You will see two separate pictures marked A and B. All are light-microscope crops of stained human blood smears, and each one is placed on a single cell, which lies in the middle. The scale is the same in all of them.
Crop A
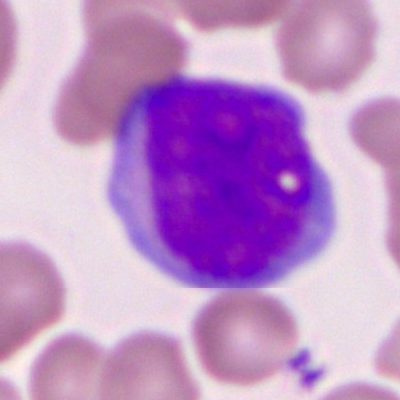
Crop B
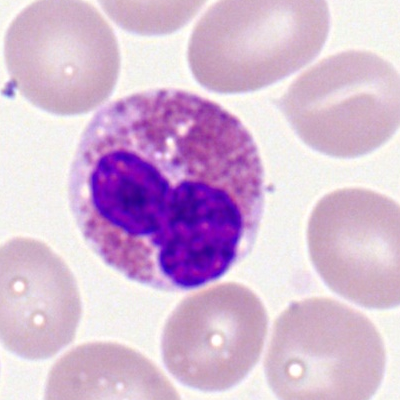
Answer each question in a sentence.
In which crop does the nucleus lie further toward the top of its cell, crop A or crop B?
Seen within its cell, the nucleus in crop A lies further toward the top.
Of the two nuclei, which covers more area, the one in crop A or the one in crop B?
The nucleus in crop A is larger, with about 2 times the area of the one in crop B.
